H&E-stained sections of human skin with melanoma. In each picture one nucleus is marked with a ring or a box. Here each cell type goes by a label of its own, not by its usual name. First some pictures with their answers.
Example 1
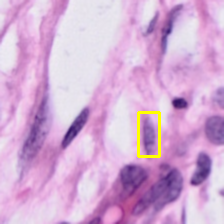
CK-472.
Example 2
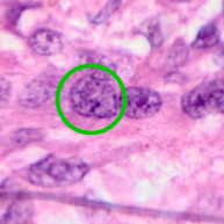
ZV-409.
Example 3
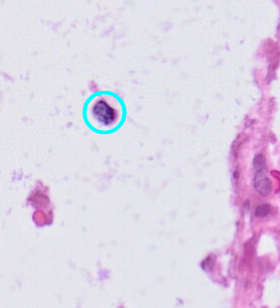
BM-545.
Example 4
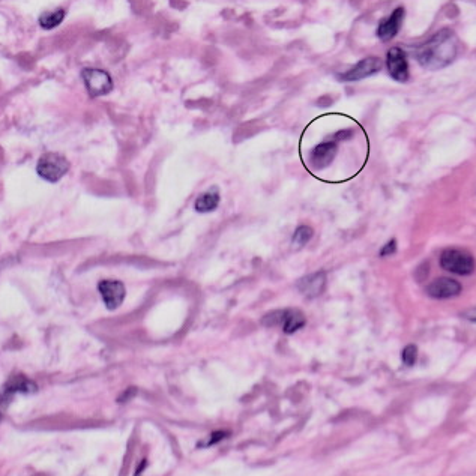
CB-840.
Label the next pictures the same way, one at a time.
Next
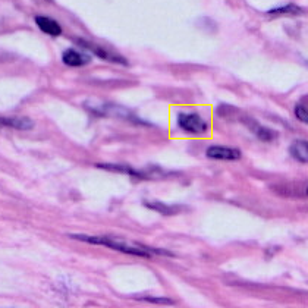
BM-545.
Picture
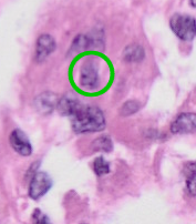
ZV-409.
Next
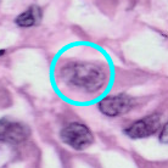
ZV-409.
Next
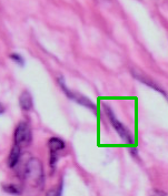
CB-840.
